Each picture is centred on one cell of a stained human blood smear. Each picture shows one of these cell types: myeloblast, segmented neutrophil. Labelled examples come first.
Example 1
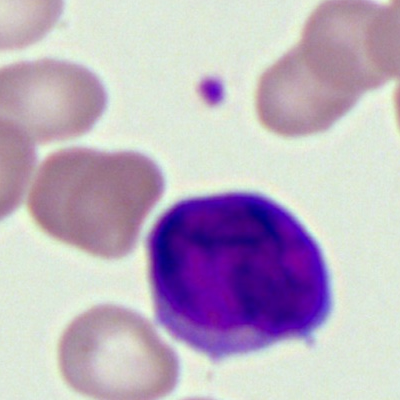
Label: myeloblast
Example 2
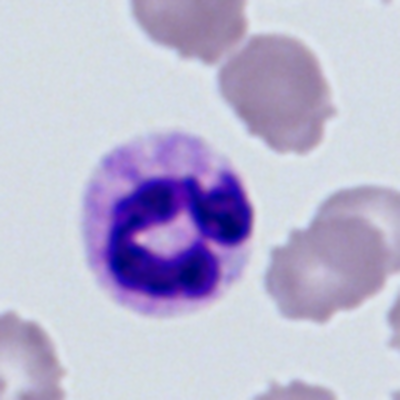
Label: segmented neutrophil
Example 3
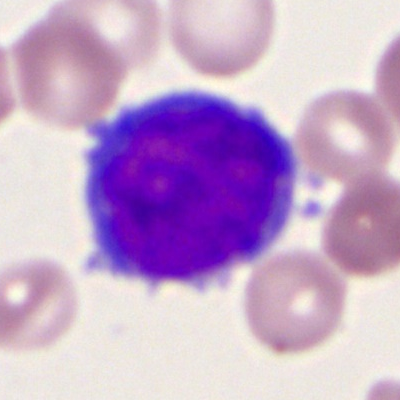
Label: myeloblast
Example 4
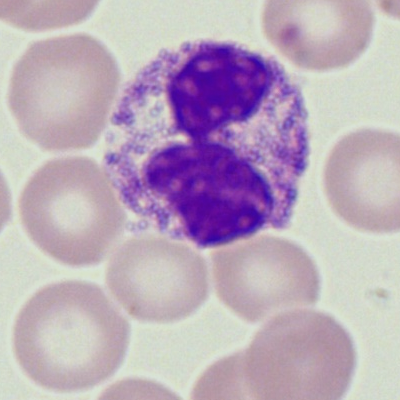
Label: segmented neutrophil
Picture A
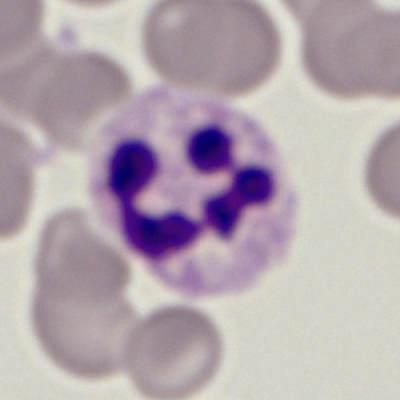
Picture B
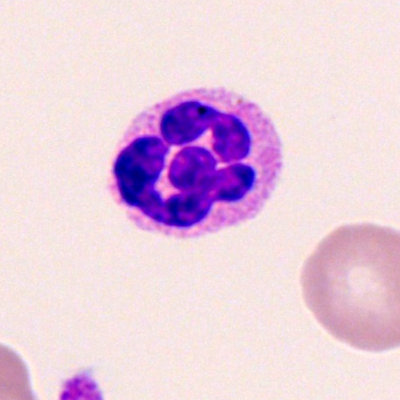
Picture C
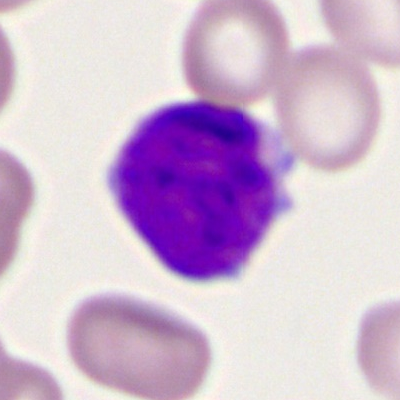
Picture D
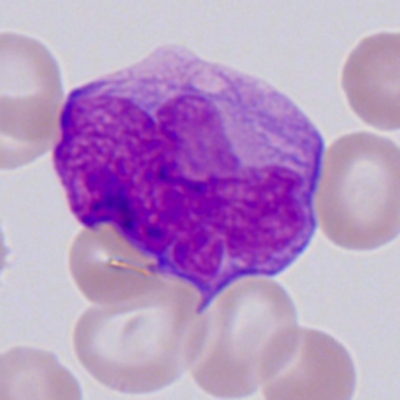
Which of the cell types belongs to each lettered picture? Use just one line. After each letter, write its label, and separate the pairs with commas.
A segmented neutrophil, B segmented neutrophil, C myeloblast, D myeloblast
